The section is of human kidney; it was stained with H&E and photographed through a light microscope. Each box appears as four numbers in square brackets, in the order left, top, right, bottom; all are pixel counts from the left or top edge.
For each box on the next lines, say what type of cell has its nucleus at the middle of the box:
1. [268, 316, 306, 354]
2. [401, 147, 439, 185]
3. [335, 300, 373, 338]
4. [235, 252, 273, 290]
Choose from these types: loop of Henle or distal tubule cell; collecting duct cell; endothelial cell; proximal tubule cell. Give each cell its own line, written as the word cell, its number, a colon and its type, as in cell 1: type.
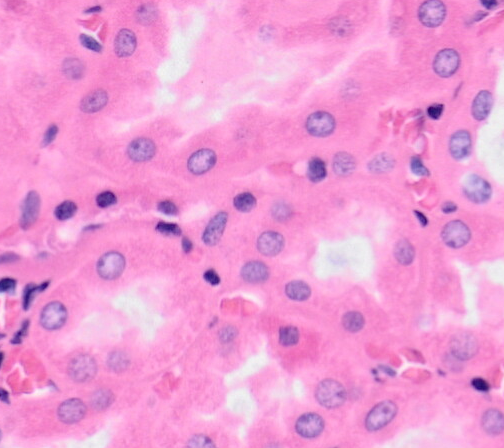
cell 1: proximal tubule cell
cell 2: endothelial cell
cell 3: proximal tubule cell
cell 4: proximal tubule cell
